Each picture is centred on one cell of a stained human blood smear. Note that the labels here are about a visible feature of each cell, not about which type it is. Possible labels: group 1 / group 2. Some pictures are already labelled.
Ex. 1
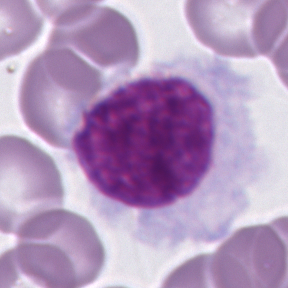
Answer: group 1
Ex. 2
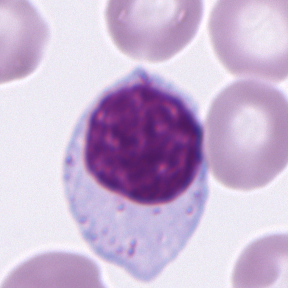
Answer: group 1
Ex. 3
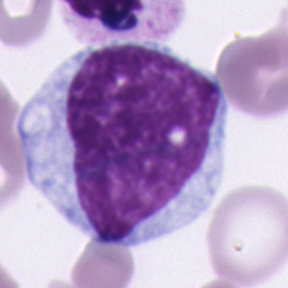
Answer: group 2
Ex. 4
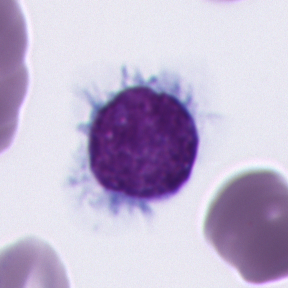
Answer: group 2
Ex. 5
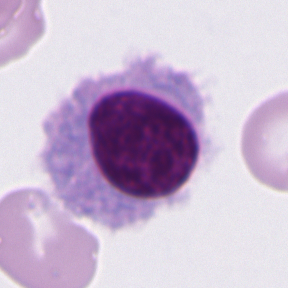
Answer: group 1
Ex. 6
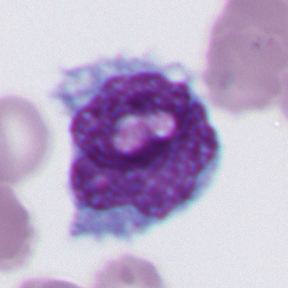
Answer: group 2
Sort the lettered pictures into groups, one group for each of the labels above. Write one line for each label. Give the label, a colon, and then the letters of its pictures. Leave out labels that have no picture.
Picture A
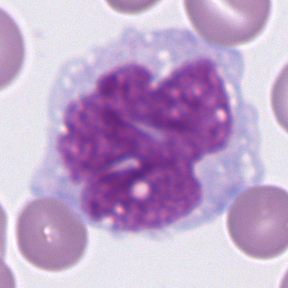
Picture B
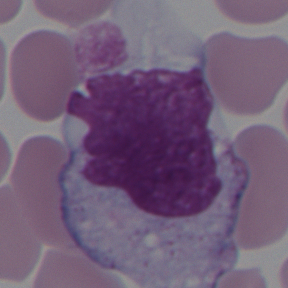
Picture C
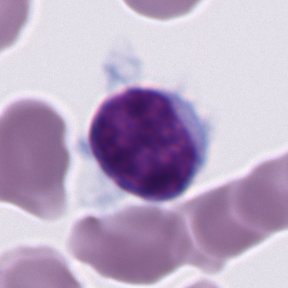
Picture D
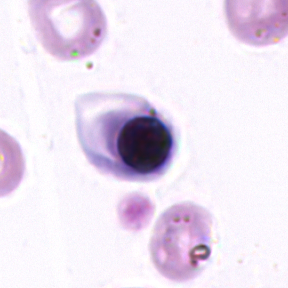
group 1: A, B, D
group 2: C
